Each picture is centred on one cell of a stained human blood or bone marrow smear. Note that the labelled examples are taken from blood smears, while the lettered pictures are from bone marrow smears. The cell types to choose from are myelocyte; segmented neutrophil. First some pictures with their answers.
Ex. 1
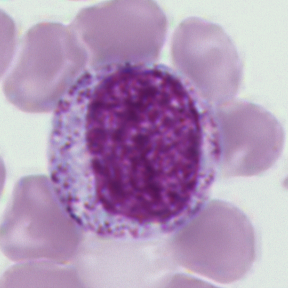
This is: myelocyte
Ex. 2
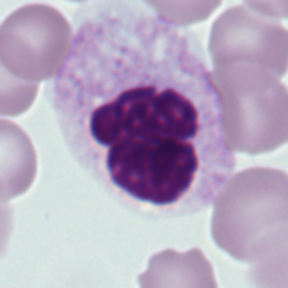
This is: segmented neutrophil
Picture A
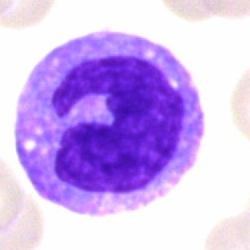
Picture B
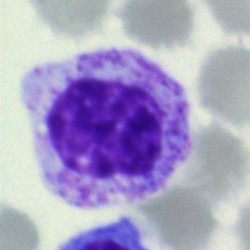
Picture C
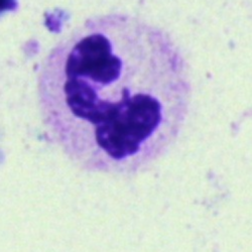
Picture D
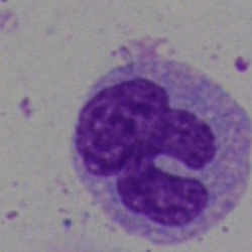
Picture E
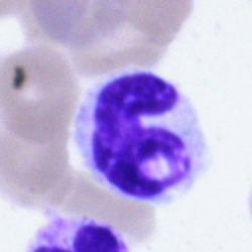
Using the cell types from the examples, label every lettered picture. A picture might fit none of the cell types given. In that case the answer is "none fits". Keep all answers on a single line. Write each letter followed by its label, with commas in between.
A none fits, B myelocyte, C segmented neutrophil, D none fits, E segmented neutrophil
